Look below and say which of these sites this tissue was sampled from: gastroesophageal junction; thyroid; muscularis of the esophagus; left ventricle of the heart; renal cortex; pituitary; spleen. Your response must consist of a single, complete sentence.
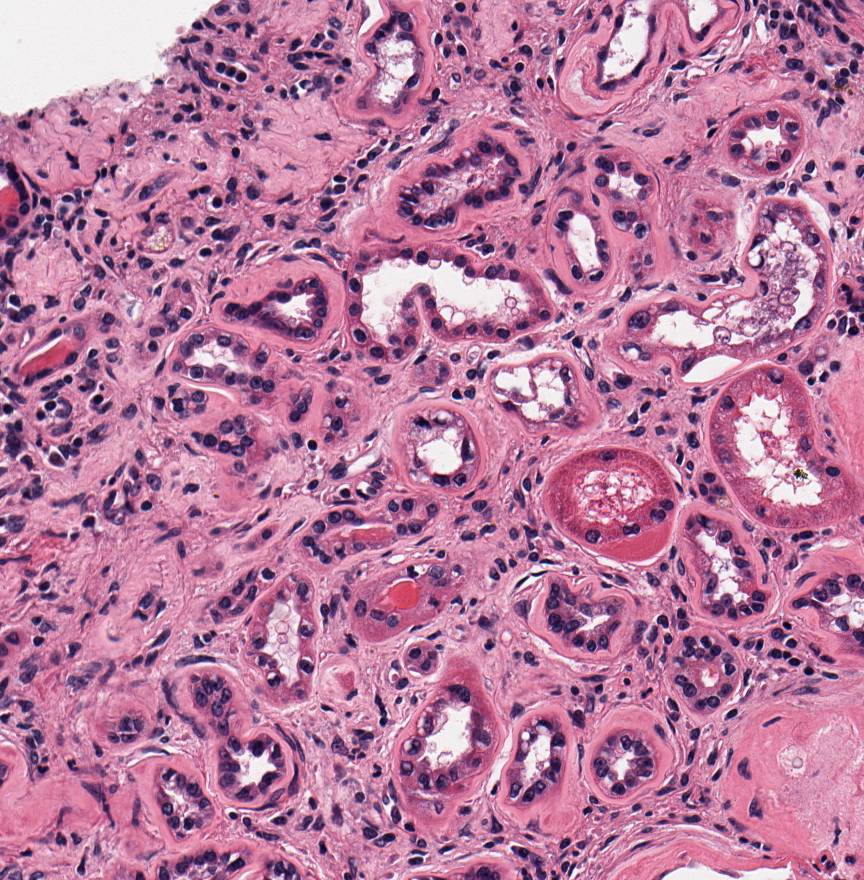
The specimen was sampled from the renal cortex.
